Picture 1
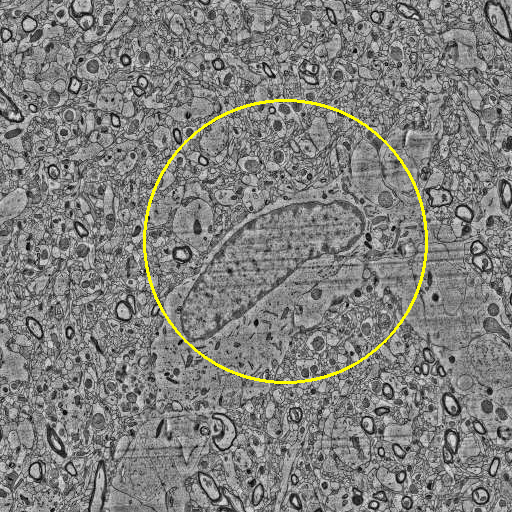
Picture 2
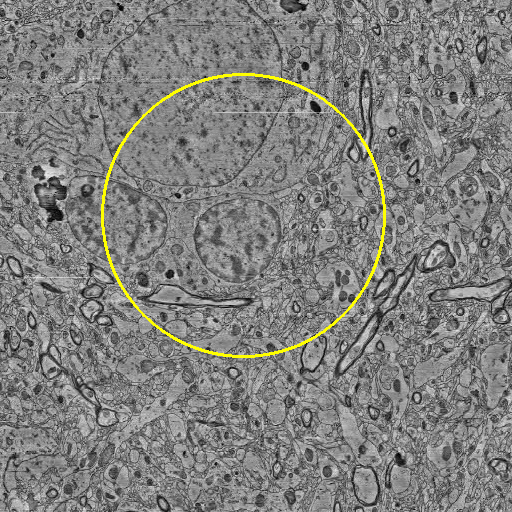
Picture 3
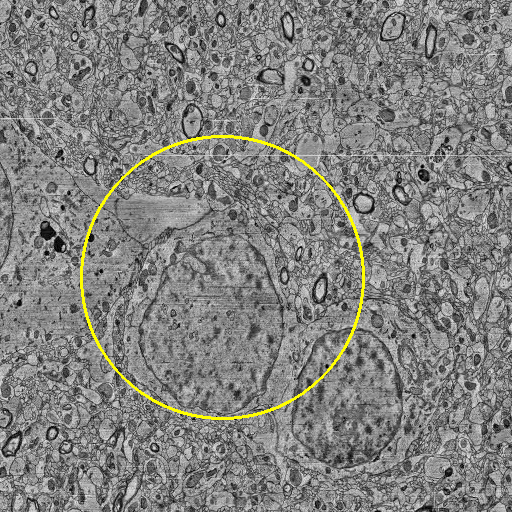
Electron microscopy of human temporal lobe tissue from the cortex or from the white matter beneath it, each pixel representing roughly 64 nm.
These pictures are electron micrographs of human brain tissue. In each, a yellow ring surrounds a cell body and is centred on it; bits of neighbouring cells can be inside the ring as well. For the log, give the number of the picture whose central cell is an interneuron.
3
